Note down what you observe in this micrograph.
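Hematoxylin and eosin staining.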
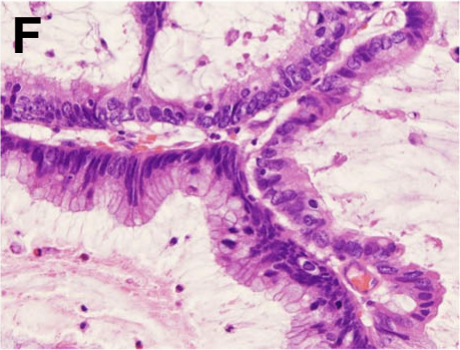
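Mucinous adenocarcinoma: branching strands of tall columnar epithelial cells float within pale, wispy, faintly stained mucus. The nuclei are elongated, crowded and dark purple, stacked at different levels, while the cytoplasm toward the free surface is pale pink to clear.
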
